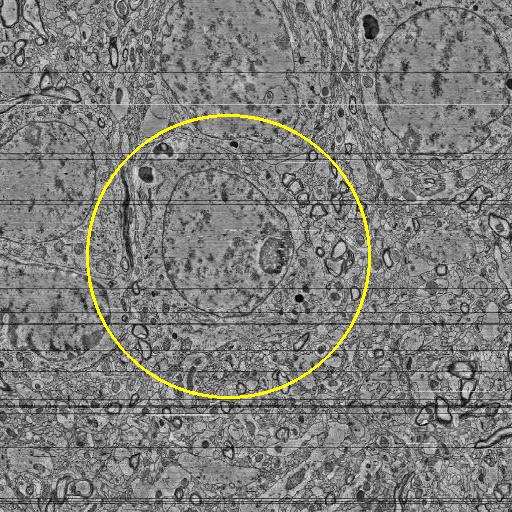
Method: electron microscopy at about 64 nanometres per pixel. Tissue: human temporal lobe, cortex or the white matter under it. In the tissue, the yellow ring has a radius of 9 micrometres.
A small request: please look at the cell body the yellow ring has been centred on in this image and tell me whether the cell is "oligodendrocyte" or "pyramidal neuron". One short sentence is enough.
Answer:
The cell marked by the ring is a pyramidal neuron.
